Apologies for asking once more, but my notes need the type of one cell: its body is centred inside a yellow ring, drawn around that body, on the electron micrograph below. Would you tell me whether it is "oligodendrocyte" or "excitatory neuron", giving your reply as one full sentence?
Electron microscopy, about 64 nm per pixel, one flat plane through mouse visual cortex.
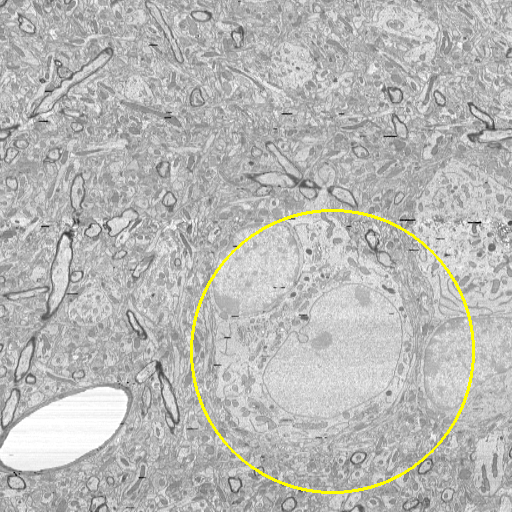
The cell that the yellow ring is centred on is an excitatory neuron in this micrograph.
